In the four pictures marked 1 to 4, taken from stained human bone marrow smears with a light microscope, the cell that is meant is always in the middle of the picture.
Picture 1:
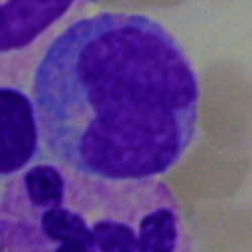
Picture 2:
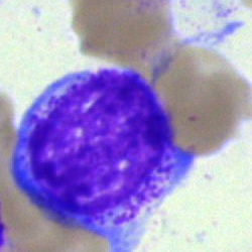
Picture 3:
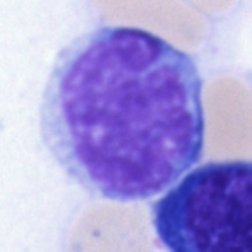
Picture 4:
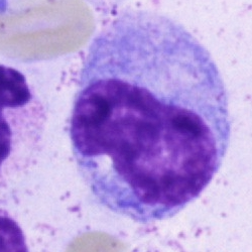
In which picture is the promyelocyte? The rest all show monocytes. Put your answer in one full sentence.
It is picture 2 that shows the promyelocyte.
